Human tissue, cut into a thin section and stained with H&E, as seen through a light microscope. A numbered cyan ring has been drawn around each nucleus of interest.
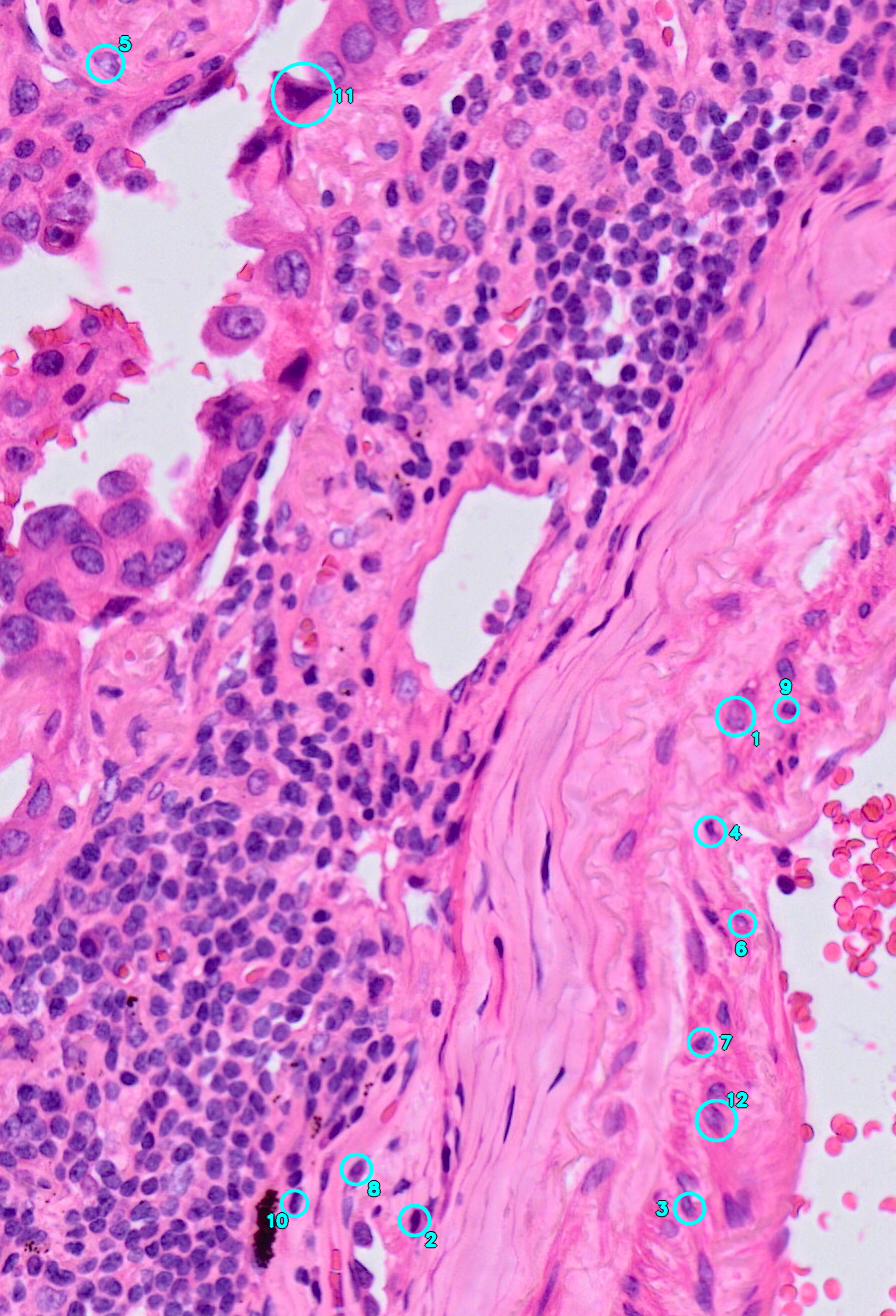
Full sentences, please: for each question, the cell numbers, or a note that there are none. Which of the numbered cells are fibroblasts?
The one cell that is a fibroblast is cell 5, and no other.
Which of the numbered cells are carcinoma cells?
Nothing but cell 11 is a carcinoma cell among the numbered ones.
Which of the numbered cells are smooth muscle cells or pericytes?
The cells to which the numbers 1, 3, 4, 6, 7, 9 and 12 refer are smooth muscle cells or pericytes.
